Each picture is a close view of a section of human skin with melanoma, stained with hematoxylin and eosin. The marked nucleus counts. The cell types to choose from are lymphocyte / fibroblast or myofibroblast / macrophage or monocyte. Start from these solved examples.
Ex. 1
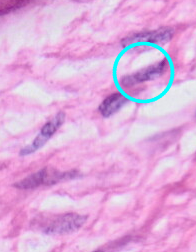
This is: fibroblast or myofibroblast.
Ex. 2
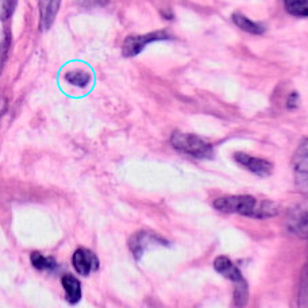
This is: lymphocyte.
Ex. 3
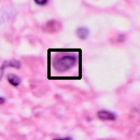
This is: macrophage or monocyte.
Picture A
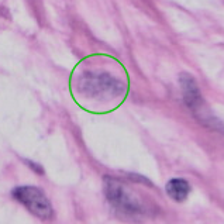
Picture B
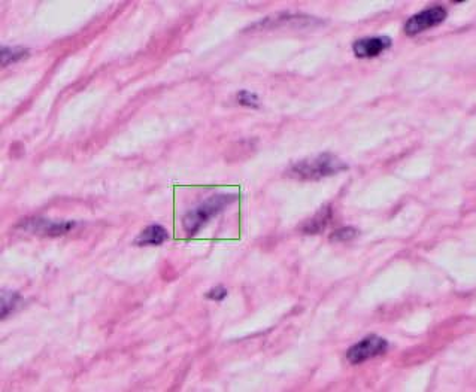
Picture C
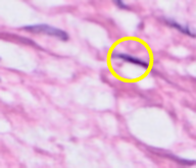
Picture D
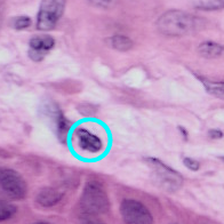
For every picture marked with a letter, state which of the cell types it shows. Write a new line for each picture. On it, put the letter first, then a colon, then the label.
A: fibroblast or myofibroblast.
B: fibroblast or myofibroblast.
C: fibroblast or myofibroblast.
D: lymphocyte.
